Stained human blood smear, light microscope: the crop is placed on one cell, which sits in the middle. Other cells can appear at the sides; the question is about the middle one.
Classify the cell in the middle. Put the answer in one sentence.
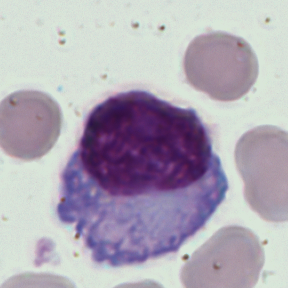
The cell in the middle of this crop is a plasma cell.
